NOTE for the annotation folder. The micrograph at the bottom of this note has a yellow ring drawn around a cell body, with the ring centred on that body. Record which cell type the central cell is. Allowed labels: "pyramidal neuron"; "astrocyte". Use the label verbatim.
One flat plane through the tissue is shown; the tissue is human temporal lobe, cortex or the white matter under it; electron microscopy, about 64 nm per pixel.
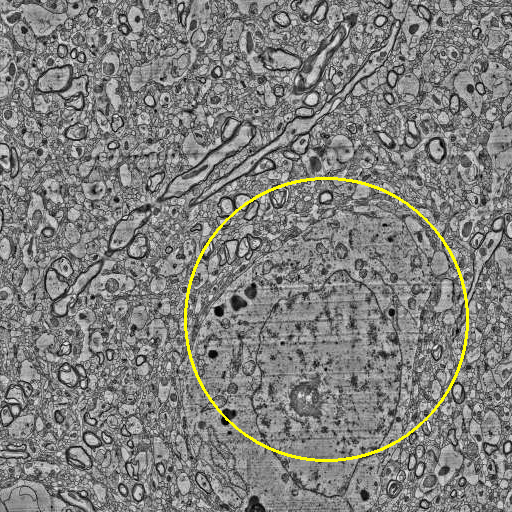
pyramidal neuron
